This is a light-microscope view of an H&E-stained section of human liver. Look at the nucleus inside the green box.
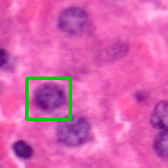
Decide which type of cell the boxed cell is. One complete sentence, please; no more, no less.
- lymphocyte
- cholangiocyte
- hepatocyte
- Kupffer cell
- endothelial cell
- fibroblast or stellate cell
The expected answer is simply that the boxed cell is a hepatocyte.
